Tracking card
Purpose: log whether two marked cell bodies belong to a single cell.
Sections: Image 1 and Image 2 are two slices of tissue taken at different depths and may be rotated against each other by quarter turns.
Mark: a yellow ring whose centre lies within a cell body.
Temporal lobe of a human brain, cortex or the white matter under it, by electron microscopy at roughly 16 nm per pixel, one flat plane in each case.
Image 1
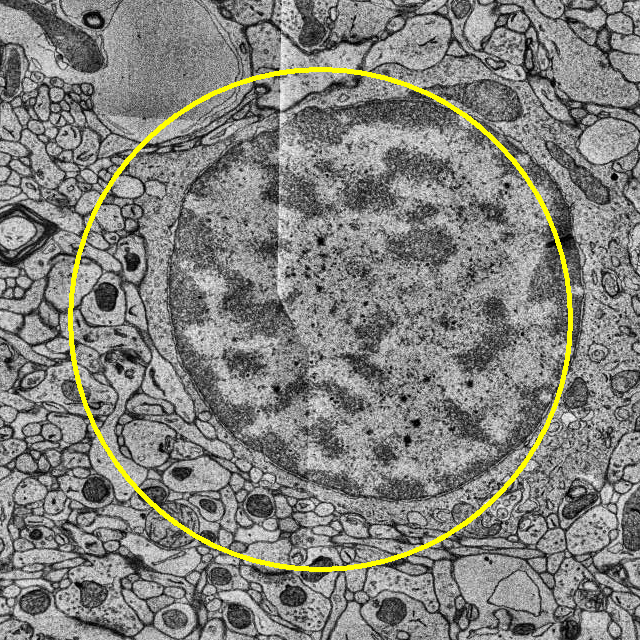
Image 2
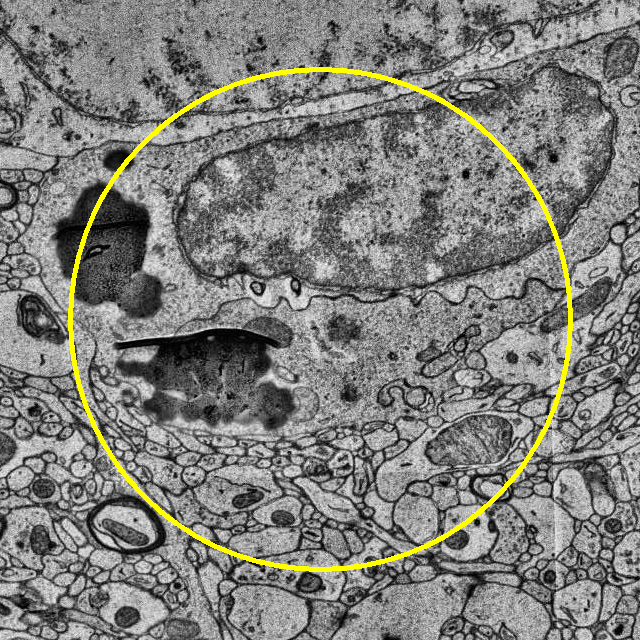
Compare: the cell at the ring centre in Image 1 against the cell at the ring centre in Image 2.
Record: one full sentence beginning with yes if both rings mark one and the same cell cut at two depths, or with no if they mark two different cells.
No, the two rings indicate two different cells, not one.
